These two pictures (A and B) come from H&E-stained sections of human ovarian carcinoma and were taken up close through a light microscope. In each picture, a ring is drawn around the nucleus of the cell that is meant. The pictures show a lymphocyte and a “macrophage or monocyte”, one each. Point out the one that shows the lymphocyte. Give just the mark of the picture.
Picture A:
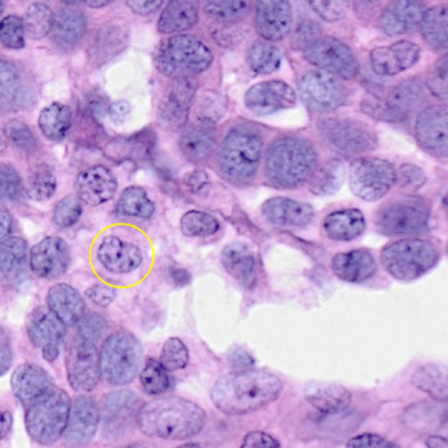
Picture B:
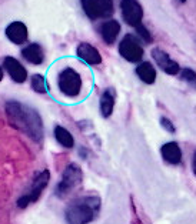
B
